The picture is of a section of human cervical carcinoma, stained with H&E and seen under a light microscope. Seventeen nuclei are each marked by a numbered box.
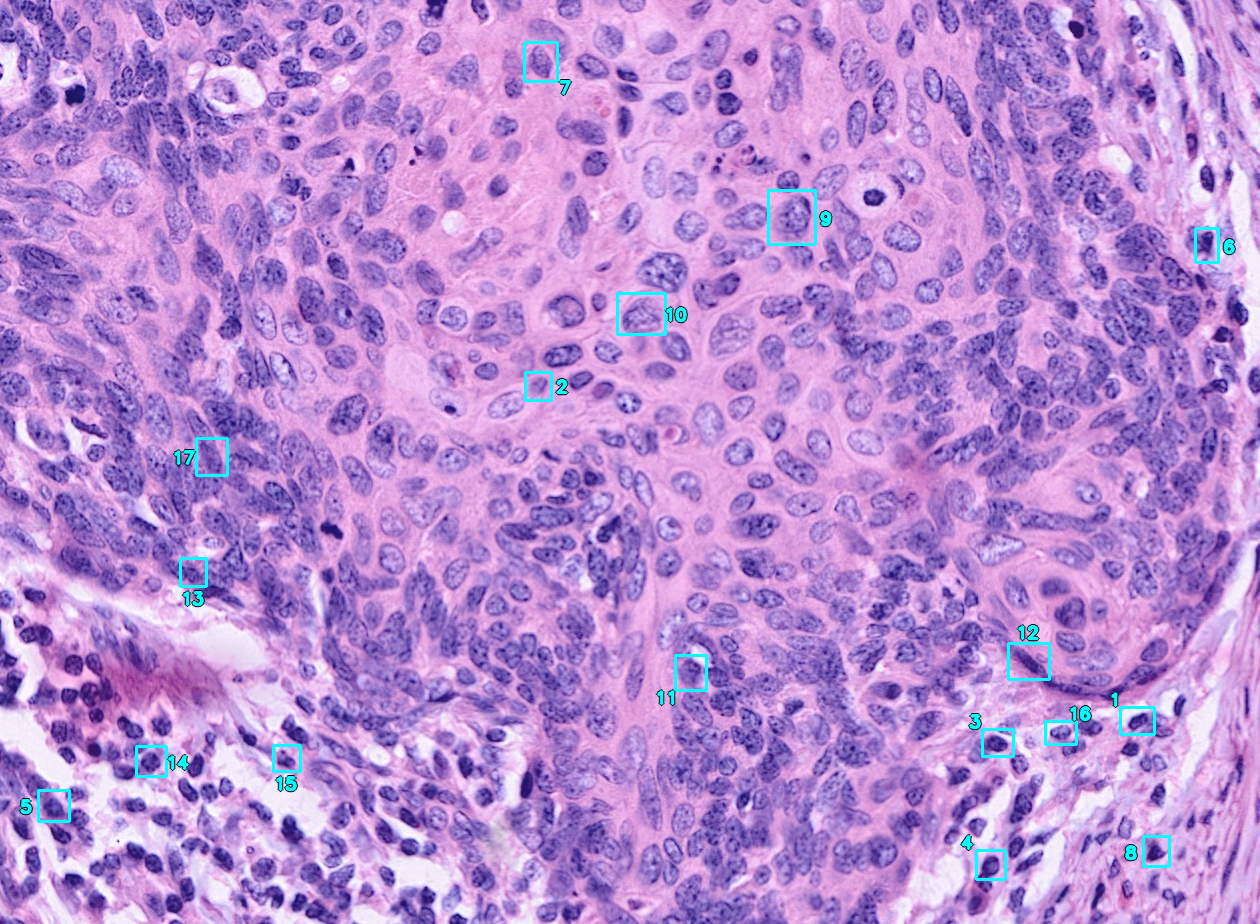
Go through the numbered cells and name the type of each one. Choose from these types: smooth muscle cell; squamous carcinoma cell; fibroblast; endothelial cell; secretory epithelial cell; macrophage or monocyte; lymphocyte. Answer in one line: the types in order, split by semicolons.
lymphocyte; squamous carcinoma cell; lymphocyte; lymphocyte; lymphocyte; lymphocyte; squamous carcinoma cell; lymphocyte; squamous carcinoma cell; squamous carcinoma cell; squamous carcinoma cell; squamous carcinoma cell; squamous carcinoma cell; lymphocyte; lymphocyte; lymphocyte; squamous carcinoma cell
